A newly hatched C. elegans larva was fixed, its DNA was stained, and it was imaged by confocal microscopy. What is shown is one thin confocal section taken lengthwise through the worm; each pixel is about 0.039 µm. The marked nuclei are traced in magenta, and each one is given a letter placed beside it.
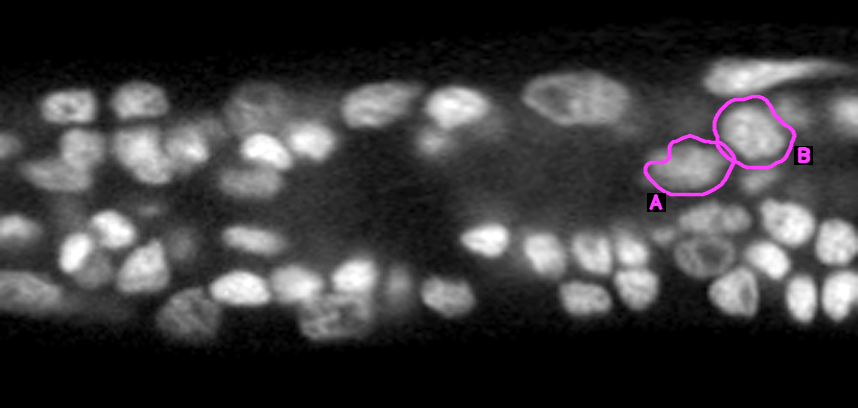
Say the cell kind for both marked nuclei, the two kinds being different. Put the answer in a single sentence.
Nucleus A comes from a pharyngeal marginal cell and nucleus B from a pharyngeal muscle cell.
